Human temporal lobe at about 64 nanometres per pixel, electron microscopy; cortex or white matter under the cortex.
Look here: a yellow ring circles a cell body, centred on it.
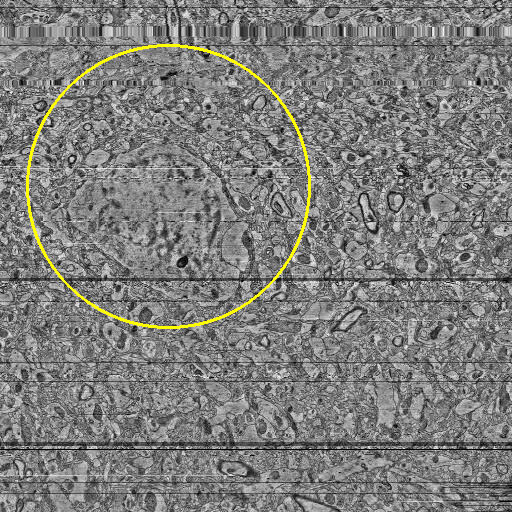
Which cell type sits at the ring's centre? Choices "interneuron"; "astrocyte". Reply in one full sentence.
The cell at the centre of the yellow ring in the picture is an interneuron.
